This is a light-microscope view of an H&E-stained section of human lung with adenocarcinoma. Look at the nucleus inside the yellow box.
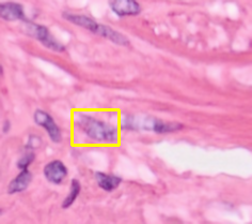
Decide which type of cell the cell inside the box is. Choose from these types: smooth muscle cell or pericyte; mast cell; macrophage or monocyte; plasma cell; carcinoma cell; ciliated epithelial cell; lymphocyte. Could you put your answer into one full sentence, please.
Cytologically, the cell inside the box is to be regarded as a smooth muscle cell or pericyte.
